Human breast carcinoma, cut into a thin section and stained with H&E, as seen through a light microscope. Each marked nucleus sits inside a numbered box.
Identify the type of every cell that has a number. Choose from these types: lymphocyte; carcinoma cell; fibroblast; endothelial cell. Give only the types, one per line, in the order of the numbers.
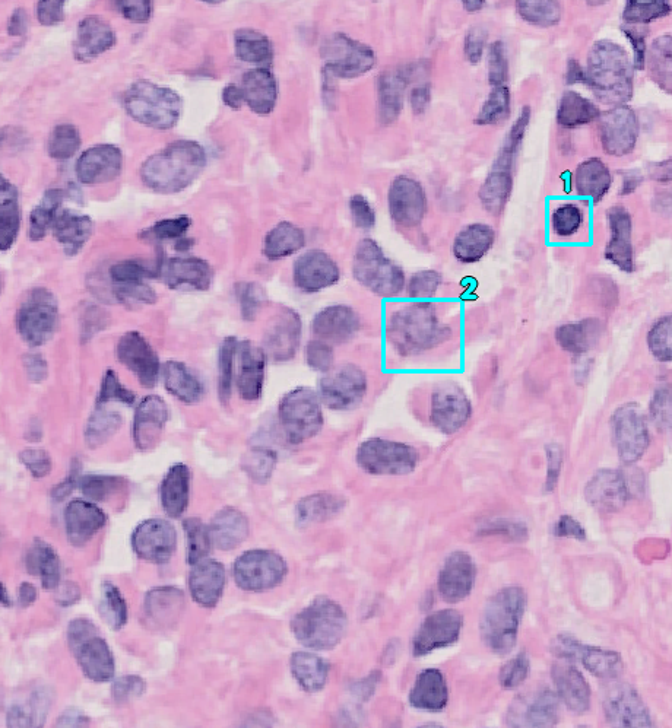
lymphocyte
carcinoma cell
